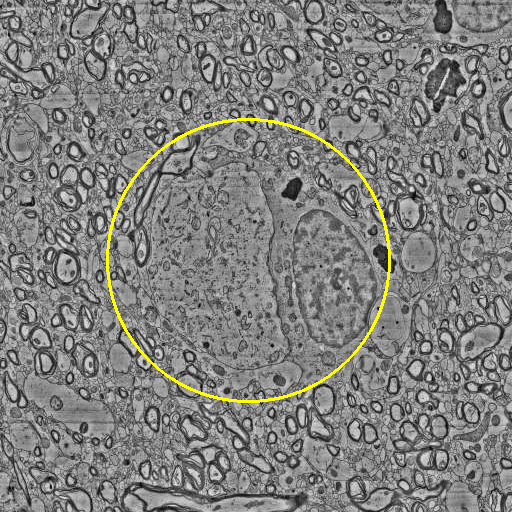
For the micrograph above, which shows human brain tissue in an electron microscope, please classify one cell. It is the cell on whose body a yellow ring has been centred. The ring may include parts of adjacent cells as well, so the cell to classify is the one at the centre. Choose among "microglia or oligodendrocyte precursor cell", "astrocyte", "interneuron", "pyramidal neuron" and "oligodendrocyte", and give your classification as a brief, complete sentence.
I classify this cell as an oligodendrocyte.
